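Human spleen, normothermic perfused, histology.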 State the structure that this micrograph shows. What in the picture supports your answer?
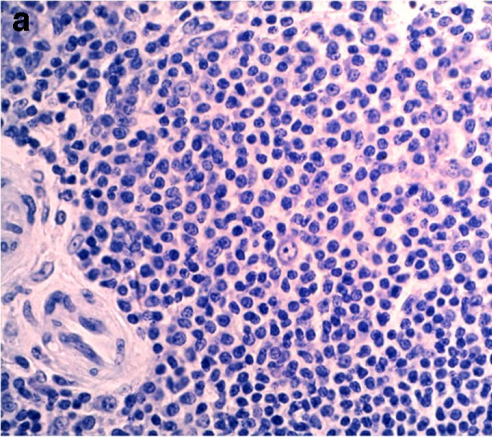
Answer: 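At the left edge, a vessel with a thick, pale pink concentric wall. The vessel wall has spindle-shaped nuclei. Densely packed small round lymphoid cells surround it. That points to this answer: central artery.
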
